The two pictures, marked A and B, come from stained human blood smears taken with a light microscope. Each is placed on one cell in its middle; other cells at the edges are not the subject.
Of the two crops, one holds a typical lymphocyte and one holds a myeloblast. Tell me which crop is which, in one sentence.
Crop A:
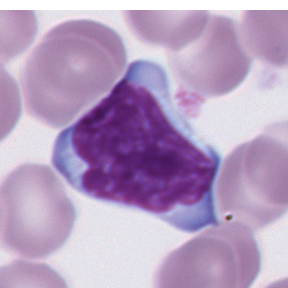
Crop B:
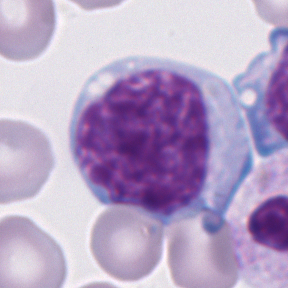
In short, crop A is a typical lymphocyte and crop B is a myeloblast.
